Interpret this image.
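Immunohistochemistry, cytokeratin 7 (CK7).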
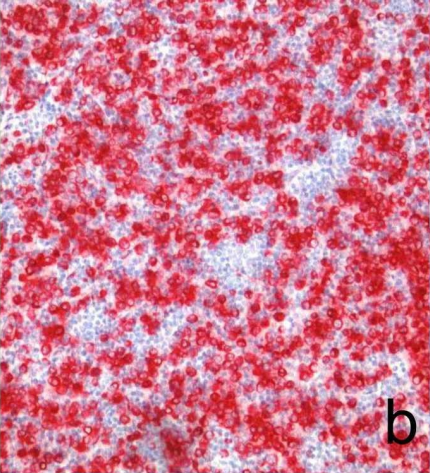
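Sheets of closely packed small round cells fill the field. Intense red stain fills the cytoplasm of most cells, forming broad confluent areas. Between these areas lie narrow bands and patches of unstained cells with blue nuclei.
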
